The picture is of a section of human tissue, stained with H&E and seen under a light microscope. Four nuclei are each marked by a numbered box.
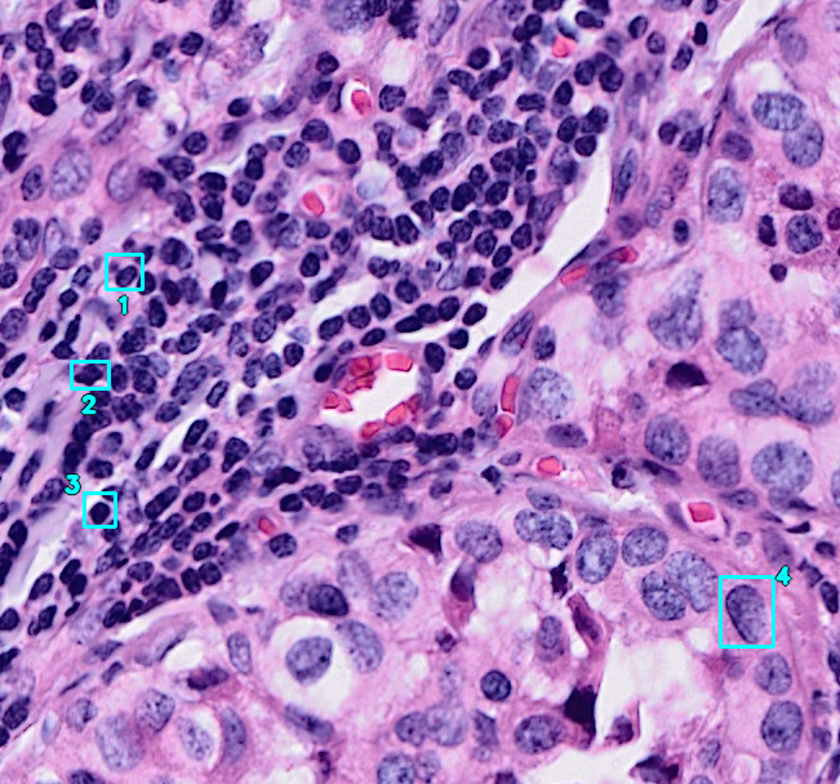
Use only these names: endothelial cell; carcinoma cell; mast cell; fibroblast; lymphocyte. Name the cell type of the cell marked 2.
lymphocyte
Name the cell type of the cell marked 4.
carcinoma cell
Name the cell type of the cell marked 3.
lymphocyte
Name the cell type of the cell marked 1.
lymphocyte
